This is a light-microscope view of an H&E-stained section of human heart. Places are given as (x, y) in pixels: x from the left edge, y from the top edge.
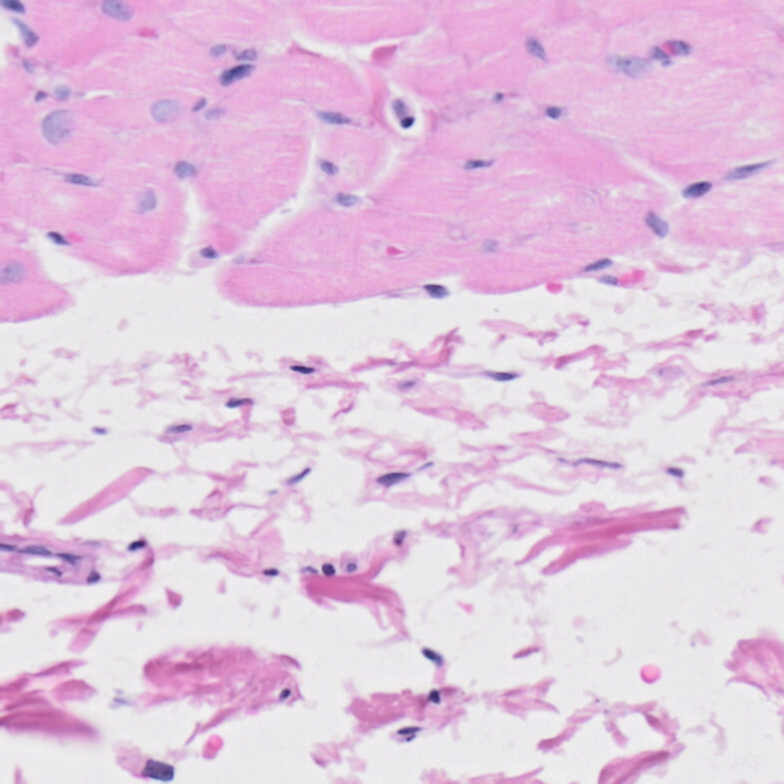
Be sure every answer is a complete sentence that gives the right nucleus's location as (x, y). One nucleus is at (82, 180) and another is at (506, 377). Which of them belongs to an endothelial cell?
Identify the nucleus at (82, 180) as the one belonging to an endothelial cell.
